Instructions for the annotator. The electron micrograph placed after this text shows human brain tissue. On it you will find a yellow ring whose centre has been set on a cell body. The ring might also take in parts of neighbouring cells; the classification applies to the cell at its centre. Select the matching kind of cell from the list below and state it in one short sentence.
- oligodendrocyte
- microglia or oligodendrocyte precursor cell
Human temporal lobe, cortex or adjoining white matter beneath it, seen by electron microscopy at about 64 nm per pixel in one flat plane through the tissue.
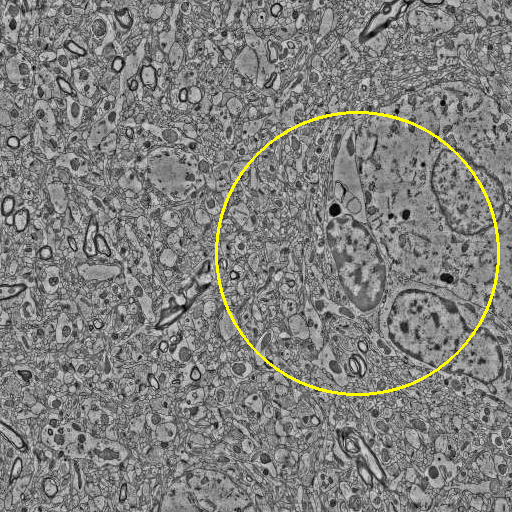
The ring is drawn on the cell body of a microglial cell or oligodendrocyte precursor cell.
